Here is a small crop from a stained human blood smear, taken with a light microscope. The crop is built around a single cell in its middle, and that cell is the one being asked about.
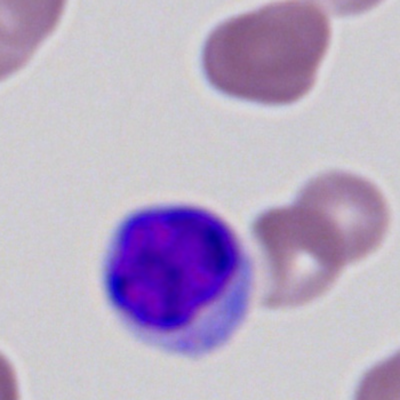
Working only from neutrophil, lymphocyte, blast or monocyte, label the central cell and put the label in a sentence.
The cell the crop is centered on is a lymphocyte.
